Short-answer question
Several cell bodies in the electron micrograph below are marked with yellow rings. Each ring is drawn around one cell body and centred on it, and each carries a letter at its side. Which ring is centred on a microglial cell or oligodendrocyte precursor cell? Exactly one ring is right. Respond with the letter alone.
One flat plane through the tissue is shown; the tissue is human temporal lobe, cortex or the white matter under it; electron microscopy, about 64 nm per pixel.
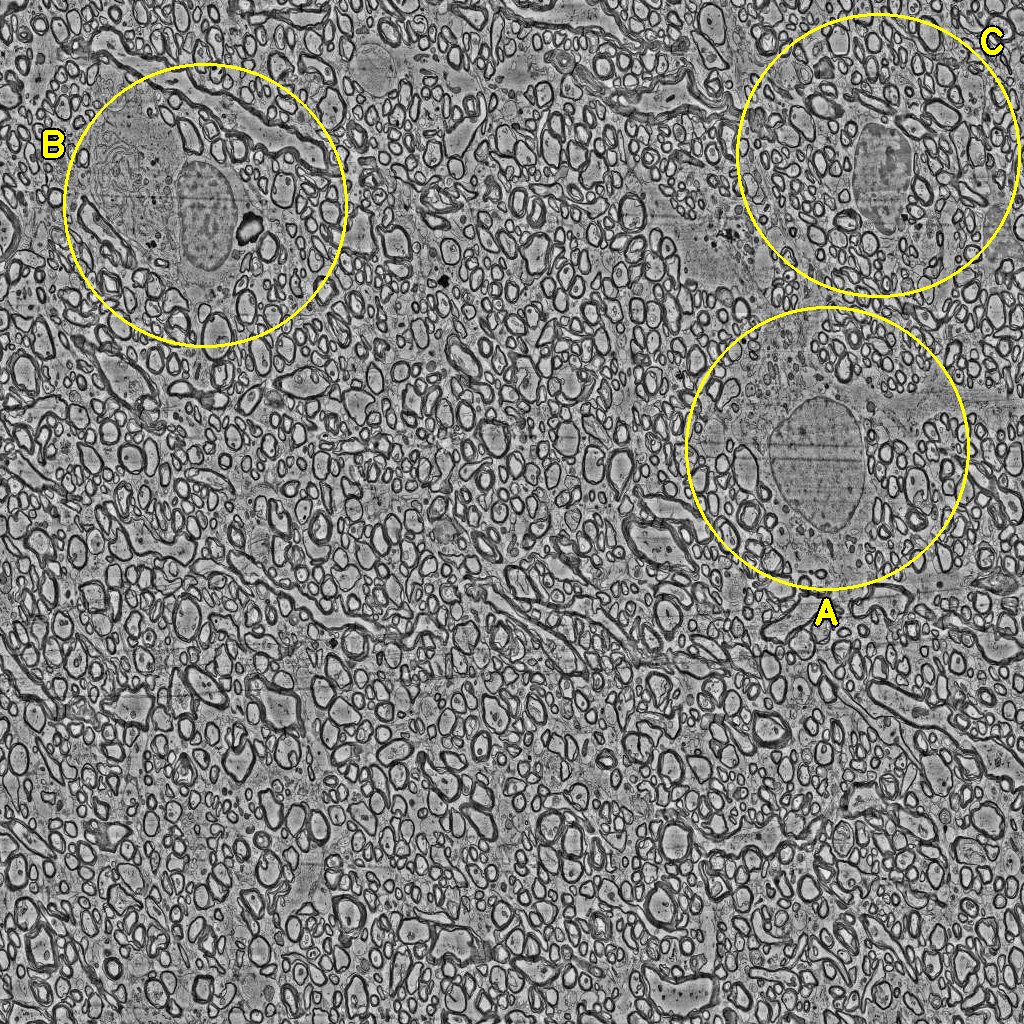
C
